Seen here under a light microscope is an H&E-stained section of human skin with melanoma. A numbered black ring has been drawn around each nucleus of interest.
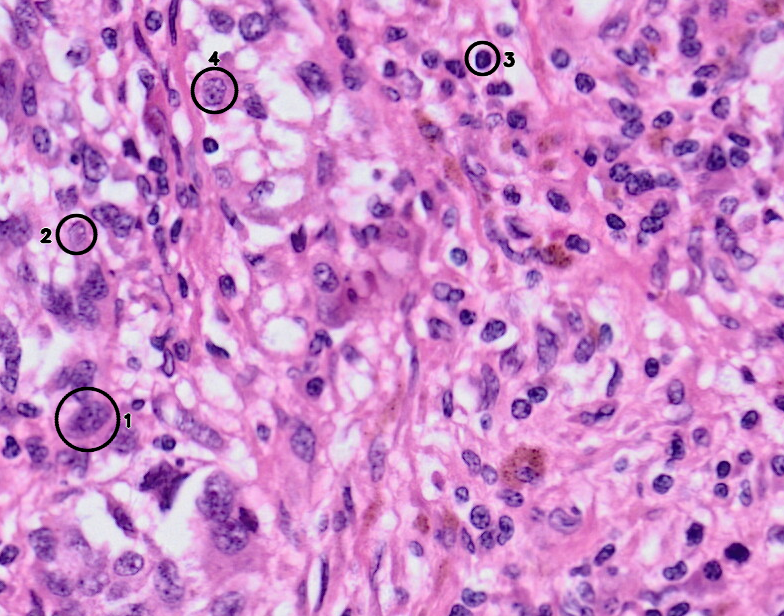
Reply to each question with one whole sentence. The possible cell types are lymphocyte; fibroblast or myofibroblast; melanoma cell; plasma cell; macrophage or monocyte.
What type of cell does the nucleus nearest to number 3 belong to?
The cell nearest to number 3 is a plasma cell.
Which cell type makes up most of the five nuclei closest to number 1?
Melanoma cells make up most of the five nuclei closest to number 1.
